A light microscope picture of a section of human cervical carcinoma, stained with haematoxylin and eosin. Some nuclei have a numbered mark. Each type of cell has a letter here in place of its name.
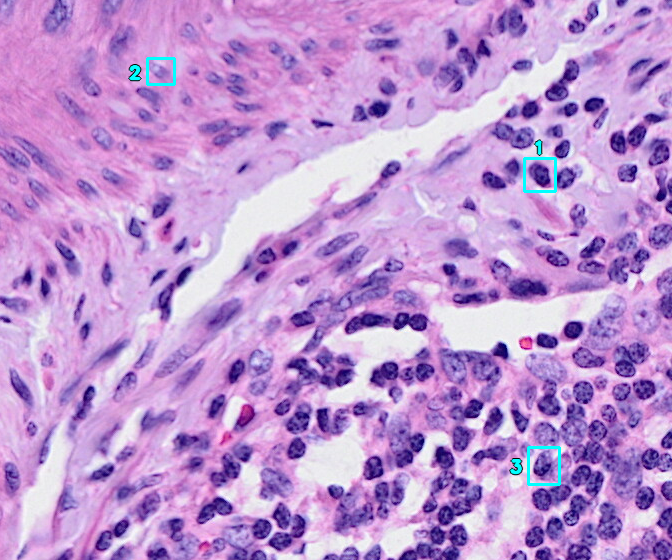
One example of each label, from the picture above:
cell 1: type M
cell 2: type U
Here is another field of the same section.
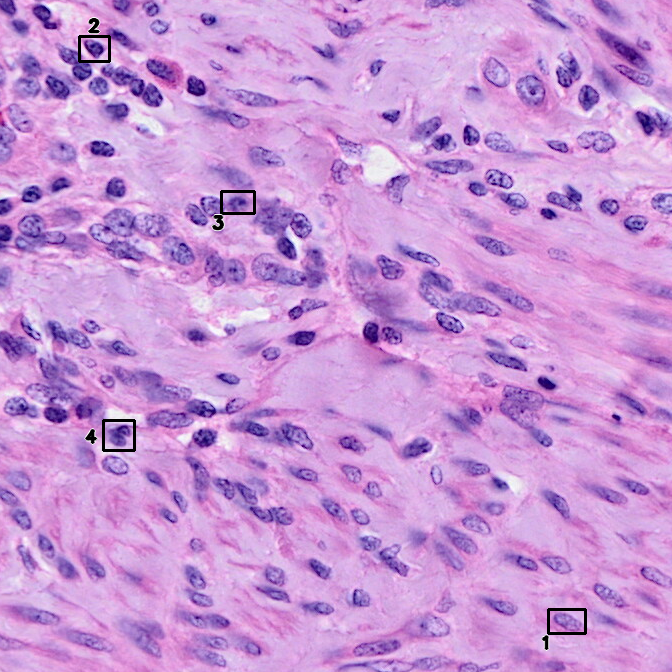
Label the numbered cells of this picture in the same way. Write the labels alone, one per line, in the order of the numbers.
type U
type M
type M
type M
